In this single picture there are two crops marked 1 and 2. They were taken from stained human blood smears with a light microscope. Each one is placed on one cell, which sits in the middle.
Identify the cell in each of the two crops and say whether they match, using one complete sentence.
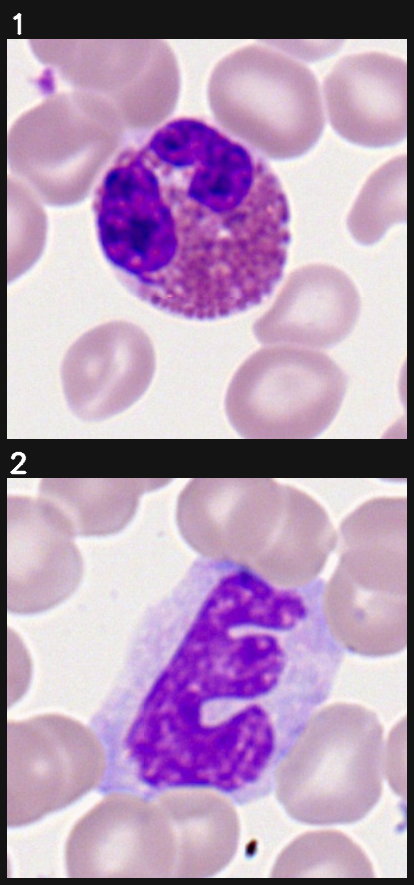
No, at the centre of crop 1 is an eosinophil, and at the centre of crop 2 is a monocyte.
